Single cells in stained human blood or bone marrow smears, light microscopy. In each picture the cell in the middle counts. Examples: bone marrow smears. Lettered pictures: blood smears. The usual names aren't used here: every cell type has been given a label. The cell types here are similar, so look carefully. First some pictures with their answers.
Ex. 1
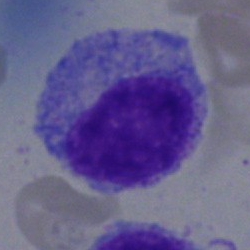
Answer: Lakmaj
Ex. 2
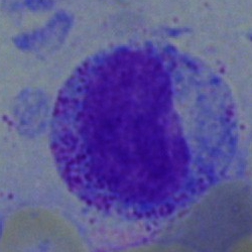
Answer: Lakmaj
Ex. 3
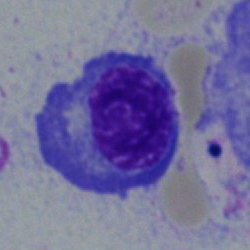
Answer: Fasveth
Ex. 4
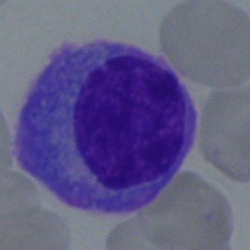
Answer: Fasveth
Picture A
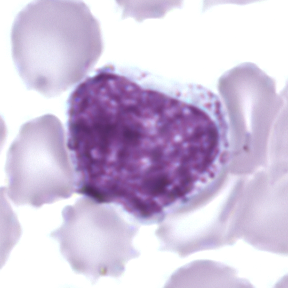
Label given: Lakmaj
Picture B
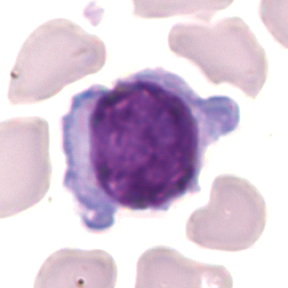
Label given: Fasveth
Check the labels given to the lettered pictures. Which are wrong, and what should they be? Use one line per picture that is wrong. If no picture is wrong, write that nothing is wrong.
Nothing to fix; every label fits.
